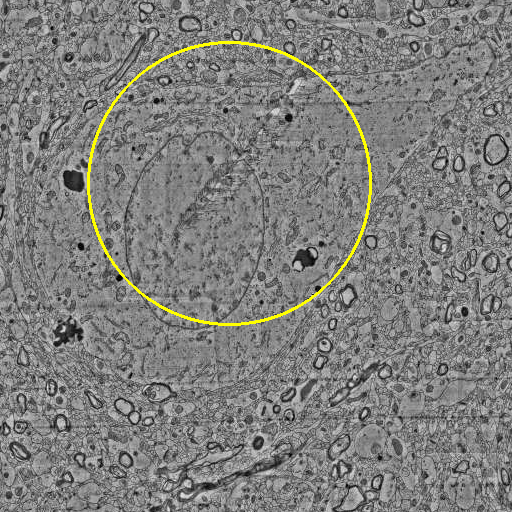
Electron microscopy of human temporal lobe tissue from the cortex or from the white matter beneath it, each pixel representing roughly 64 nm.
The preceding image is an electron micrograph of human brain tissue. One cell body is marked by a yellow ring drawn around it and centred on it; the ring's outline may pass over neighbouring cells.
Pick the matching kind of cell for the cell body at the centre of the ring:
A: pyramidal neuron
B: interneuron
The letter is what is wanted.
A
